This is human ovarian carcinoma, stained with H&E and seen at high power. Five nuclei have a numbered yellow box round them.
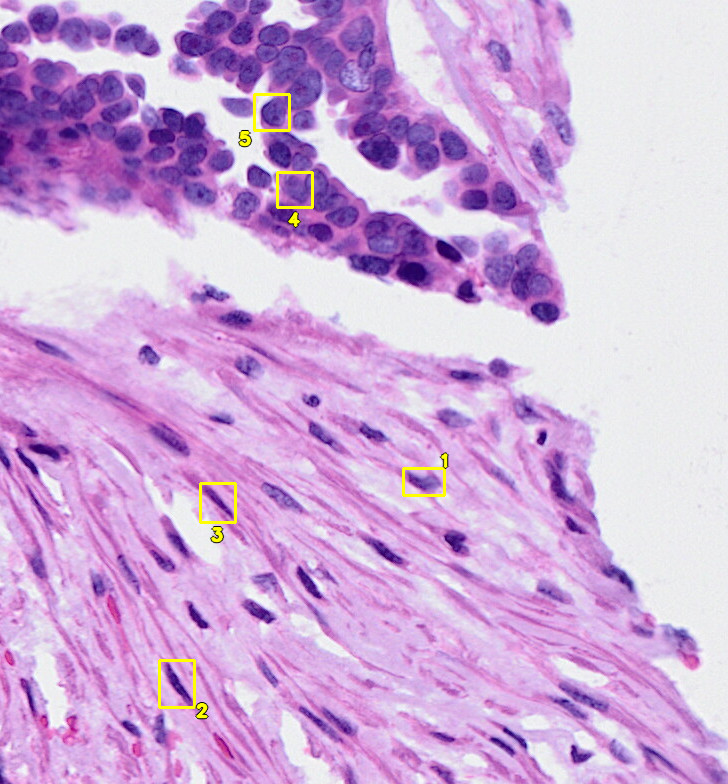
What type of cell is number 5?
carcinoma cell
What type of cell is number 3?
fibroblast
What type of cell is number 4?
carcinoma cell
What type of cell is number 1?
fibroblast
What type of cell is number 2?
fibroblast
